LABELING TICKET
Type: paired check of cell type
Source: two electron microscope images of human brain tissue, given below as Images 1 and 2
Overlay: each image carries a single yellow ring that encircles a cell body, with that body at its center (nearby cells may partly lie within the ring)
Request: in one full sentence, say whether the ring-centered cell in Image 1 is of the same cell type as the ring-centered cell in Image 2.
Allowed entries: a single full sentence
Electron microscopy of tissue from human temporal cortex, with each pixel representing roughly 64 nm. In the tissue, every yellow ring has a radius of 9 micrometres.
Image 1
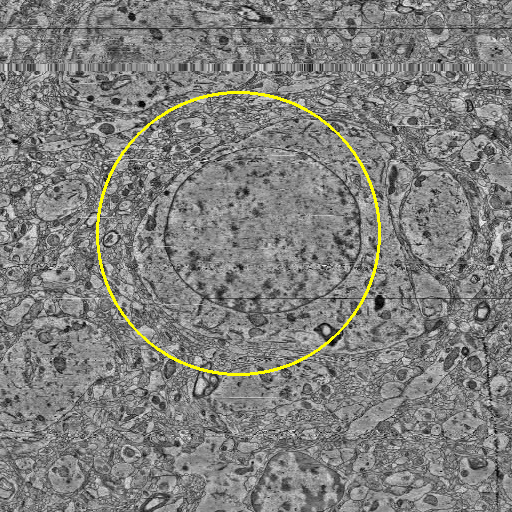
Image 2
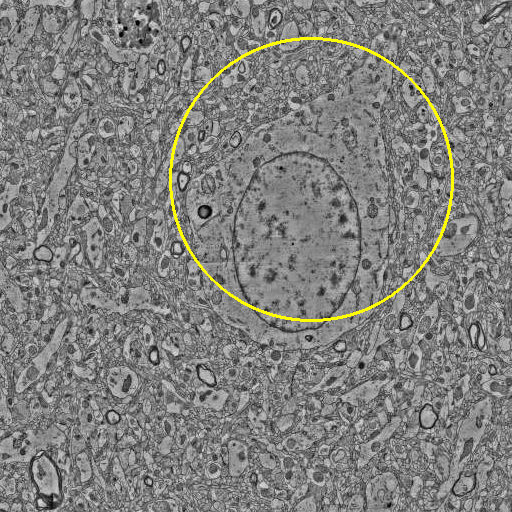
Yes, the cells centered in the rings of Image 1 and Image 2 share one type.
